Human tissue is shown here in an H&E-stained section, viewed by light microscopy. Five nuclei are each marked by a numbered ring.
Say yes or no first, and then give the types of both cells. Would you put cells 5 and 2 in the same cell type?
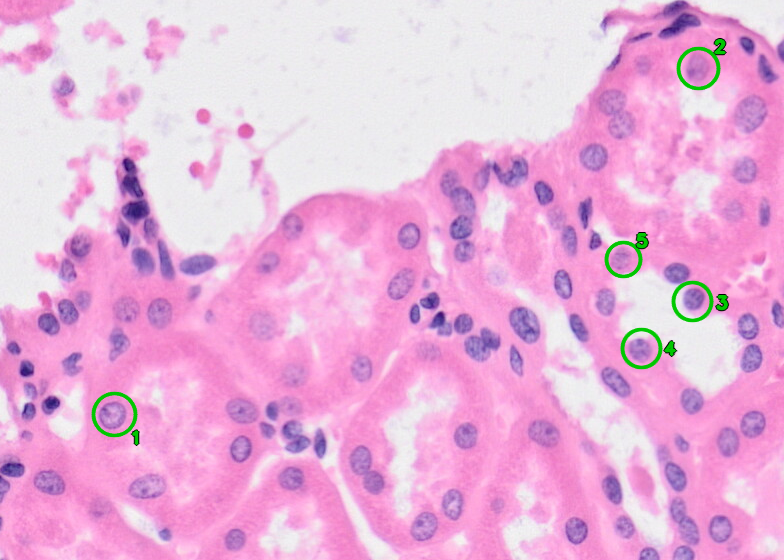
No, unlike cell 5, which is a loop of Henle or distal tubule cell, cell 2 is a proximal tubule cell.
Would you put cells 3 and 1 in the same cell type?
No, cell 3 is a loop of Henle or distal tubule cell, and in contrast cell 1 is a proximal tubule cell.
